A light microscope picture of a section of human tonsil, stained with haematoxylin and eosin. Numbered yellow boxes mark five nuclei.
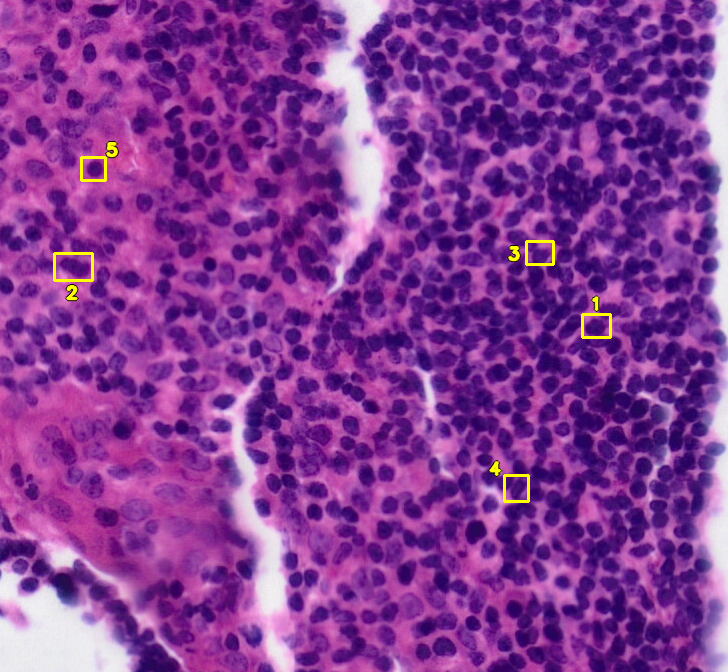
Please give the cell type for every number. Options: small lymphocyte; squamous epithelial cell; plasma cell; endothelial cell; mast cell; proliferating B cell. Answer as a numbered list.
1. small lymphocyte
2. squamous epithelial cell
3. small lymphocyte
4. small lymphocyte
5. plasma cell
